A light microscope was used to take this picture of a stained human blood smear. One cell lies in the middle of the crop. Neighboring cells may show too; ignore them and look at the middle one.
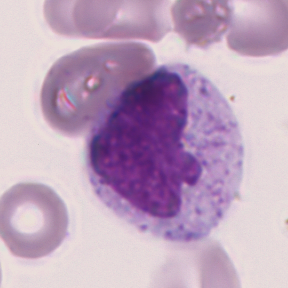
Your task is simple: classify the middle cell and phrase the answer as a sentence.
Located at the centre of the crop is a metamyelocyte.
